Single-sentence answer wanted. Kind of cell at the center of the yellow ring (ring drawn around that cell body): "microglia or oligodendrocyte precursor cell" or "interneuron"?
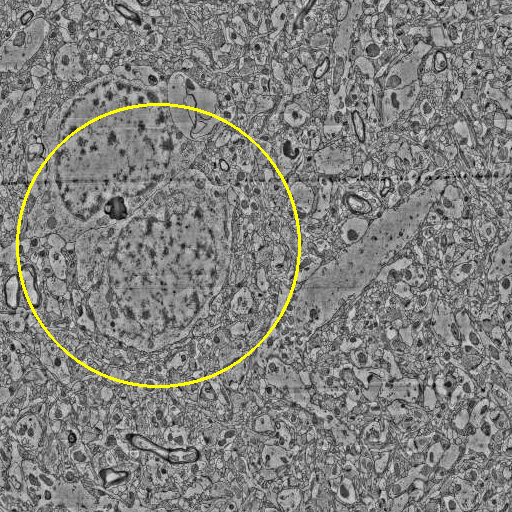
The cell centered in the ring is an interneuron.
